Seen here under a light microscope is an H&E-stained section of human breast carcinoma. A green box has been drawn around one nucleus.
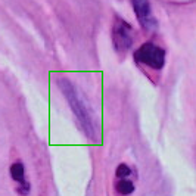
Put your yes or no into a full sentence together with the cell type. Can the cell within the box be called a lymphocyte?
No, the cell within the box is best named a fibroblast, not a lymphocyte.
